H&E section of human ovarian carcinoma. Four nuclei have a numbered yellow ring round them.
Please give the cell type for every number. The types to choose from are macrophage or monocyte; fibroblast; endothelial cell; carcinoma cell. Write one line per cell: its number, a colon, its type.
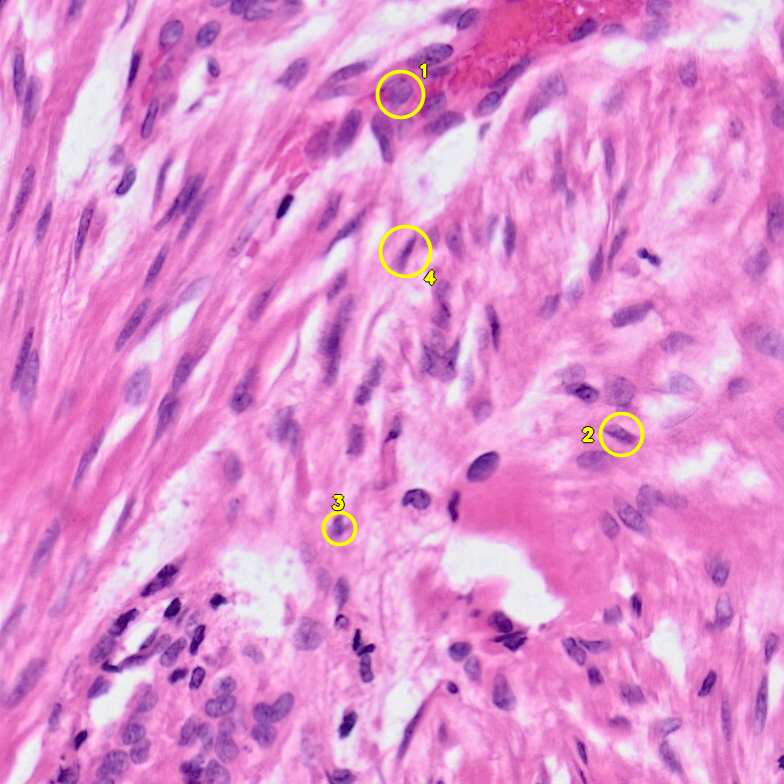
1: endothelial cell
2: fibroblast
3: fibroblast
4: fibroblast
